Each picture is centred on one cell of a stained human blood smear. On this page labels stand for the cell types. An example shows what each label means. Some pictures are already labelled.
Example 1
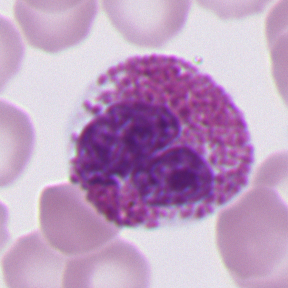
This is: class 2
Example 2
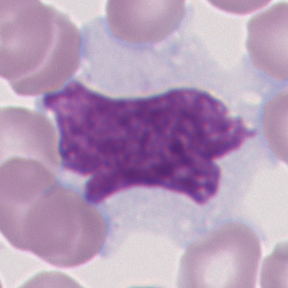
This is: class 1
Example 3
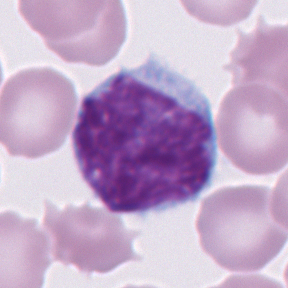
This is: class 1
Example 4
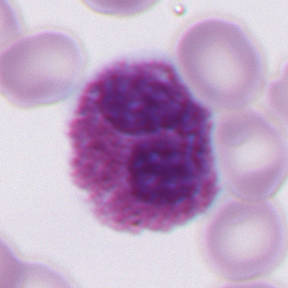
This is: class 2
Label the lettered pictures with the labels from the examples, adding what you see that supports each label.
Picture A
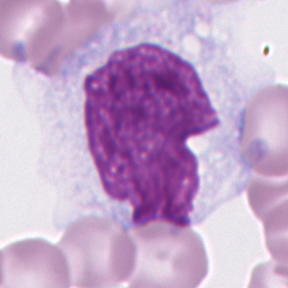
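Label: class 1. The cytoplasm holds a fine dusting of faint lilac granules.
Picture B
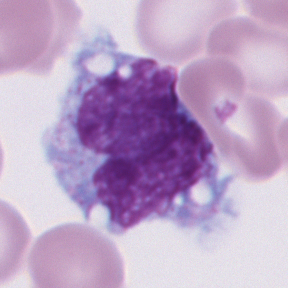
Label: class 1. Fine pinkish-purple granules are scattered through the cytoplasm.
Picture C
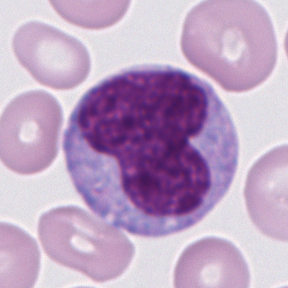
Label: class 1. The cytoplasm shows only fine, faint granules.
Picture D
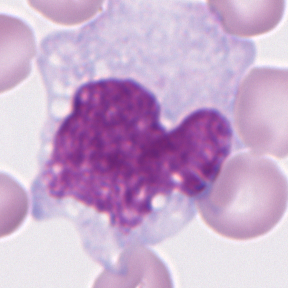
Label: class 1. The cytoplasm holds a faint dusting of fine lilac granules.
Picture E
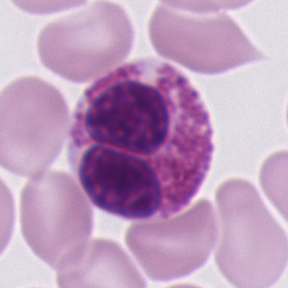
Label: class 2. Coarse granules fill the cytoplasm.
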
